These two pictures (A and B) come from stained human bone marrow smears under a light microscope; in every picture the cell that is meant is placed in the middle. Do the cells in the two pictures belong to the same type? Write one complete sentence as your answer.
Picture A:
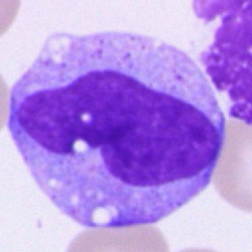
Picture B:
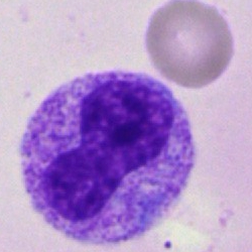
No, the types are not the same, since picture A shows a monocyte and picture B a metamyelocyte.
